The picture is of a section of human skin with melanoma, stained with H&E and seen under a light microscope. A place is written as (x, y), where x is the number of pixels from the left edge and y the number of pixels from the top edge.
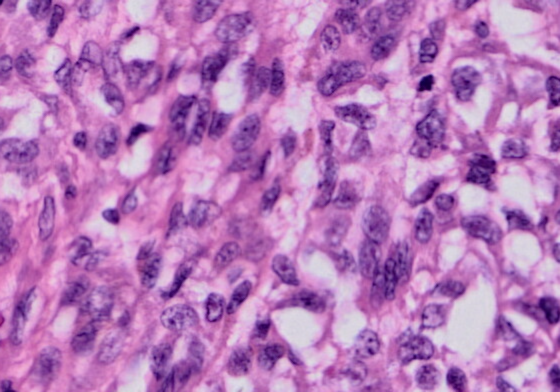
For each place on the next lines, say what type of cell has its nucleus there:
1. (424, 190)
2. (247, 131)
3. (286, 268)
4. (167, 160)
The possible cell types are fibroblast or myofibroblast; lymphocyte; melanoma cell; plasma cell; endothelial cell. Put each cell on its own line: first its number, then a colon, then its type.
1: melanoma cell
2: melanoma cell
3: melanoma cell
4: endothelial cell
